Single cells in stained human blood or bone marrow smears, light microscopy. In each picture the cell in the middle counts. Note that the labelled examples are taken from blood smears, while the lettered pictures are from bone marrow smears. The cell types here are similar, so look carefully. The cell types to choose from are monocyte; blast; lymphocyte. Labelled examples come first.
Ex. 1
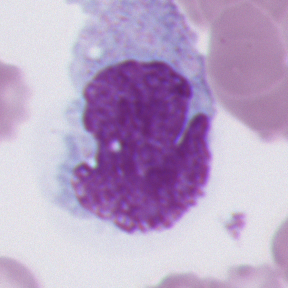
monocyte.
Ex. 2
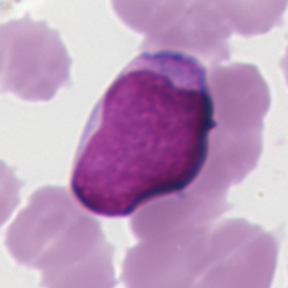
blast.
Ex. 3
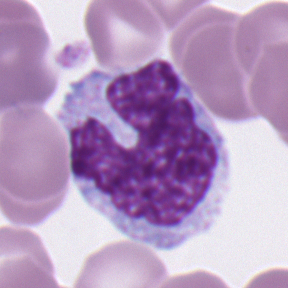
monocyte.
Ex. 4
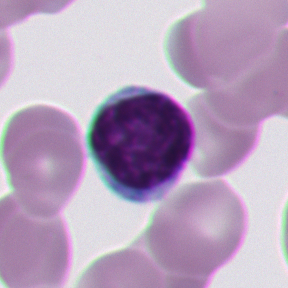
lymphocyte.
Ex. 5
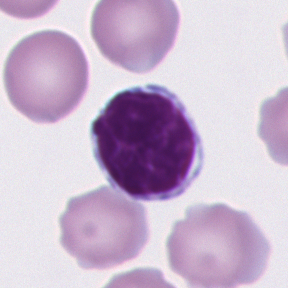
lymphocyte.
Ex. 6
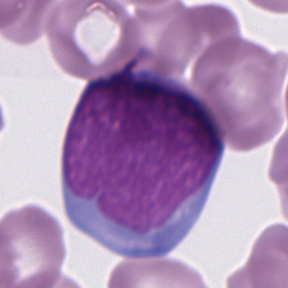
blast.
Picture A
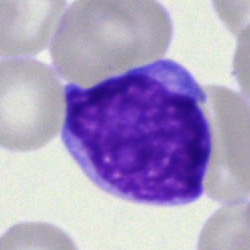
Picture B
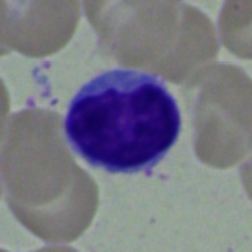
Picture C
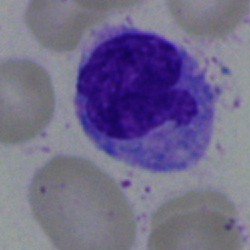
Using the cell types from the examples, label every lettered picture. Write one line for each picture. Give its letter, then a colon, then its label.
A: blast.
B: lymphocyte.
C: monocyte.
